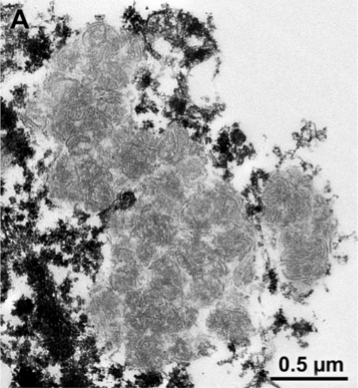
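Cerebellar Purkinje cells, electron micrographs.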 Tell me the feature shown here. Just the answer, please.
Spherical aggregates of lamellar material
